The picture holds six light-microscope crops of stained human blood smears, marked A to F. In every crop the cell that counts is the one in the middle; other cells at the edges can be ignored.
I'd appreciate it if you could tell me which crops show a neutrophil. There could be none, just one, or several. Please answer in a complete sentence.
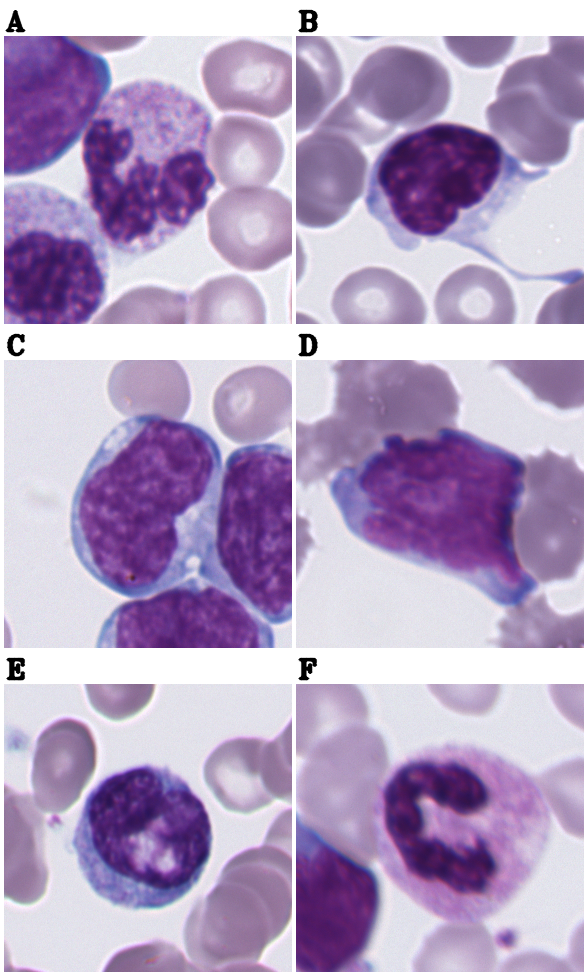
Found at the centre of crops A and F are neutrophils.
